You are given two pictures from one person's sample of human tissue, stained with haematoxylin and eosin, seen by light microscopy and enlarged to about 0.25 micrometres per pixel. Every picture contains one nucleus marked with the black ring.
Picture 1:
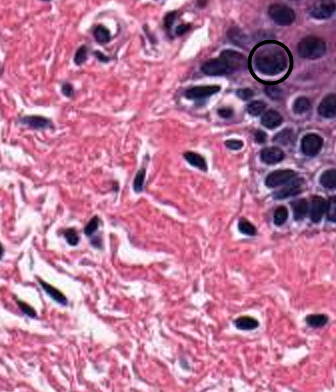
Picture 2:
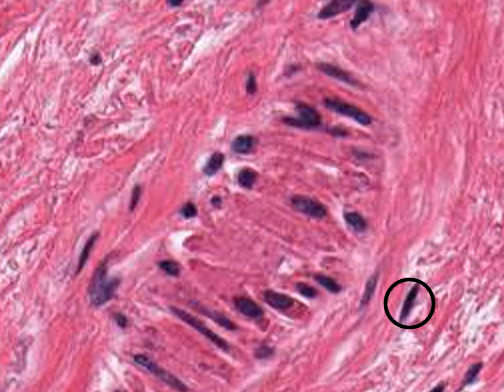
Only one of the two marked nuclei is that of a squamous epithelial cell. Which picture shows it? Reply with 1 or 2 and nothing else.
1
